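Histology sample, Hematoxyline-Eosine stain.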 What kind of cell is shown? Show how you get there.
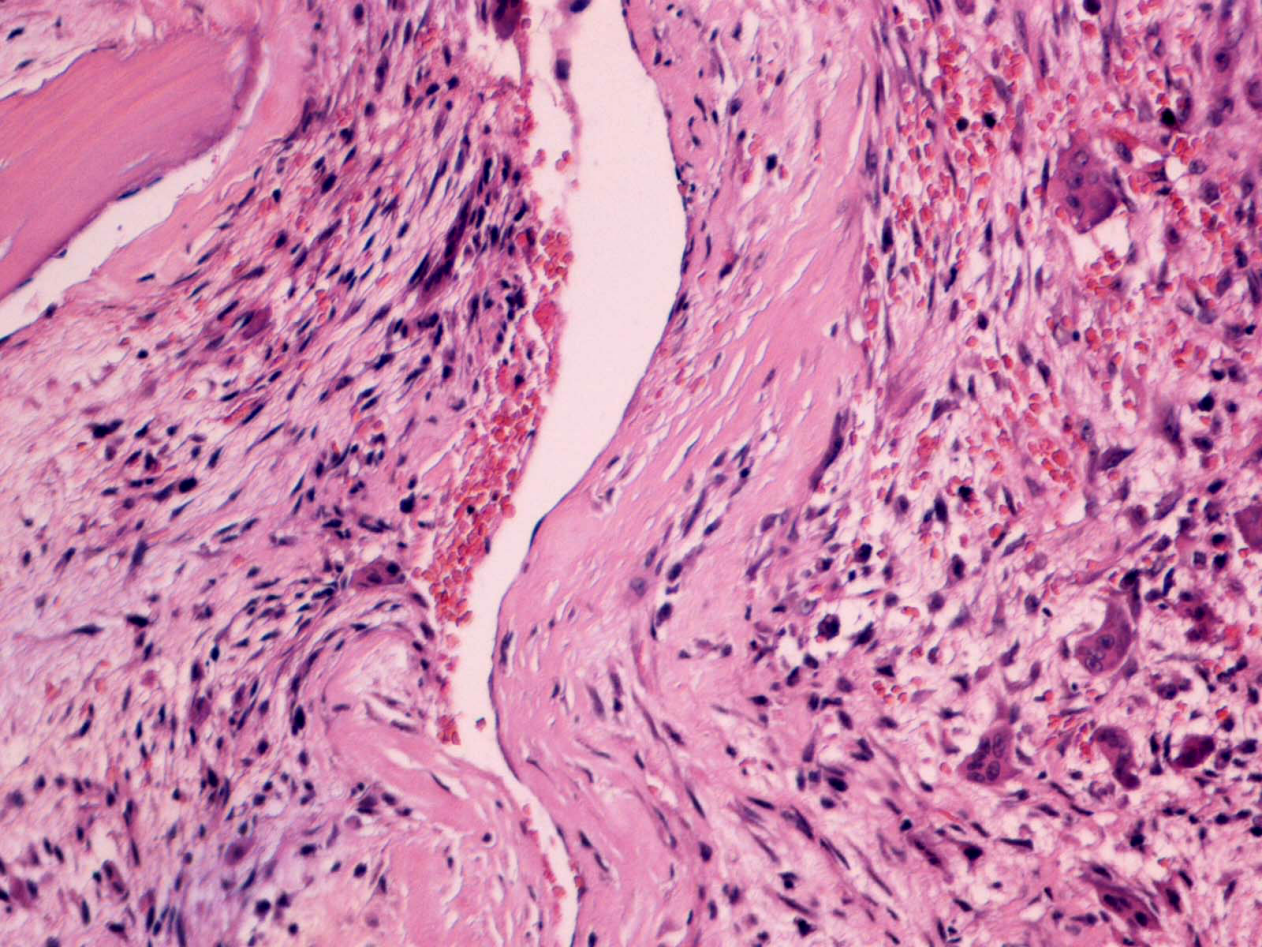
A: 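Multinucleated giant cells. On the right, several large cells with abundant pink cytoplasm. Each of these large cells contains several nuclei. They lie scattered among smaller spindle-shaped cells.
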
